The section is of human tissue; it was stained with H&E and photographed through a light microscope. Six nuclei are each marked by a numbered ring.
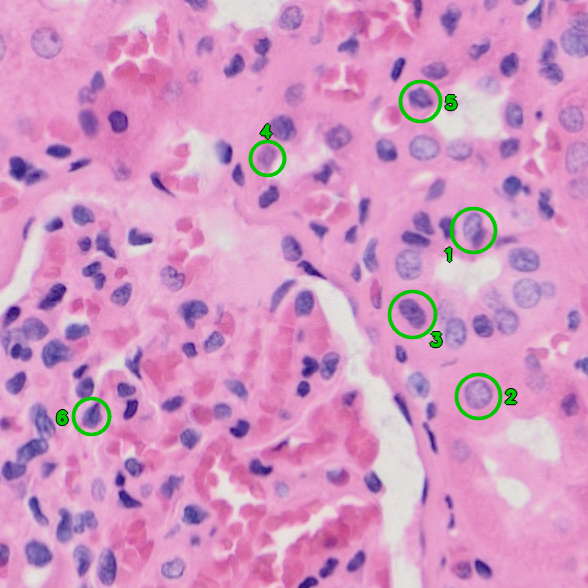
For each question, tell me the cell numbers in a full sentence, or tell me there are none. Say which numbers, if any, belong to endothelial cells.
Only the cell carrying number 6 is an endothelial cell.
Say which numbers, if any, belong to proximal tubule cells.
The only cell among those numbered to be a proximal tubule cell is number 2.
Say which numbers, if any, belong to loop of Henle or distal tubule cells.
The cells numbered 4 and 5 fall into the category of loop of Henle or distal tubule cells.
